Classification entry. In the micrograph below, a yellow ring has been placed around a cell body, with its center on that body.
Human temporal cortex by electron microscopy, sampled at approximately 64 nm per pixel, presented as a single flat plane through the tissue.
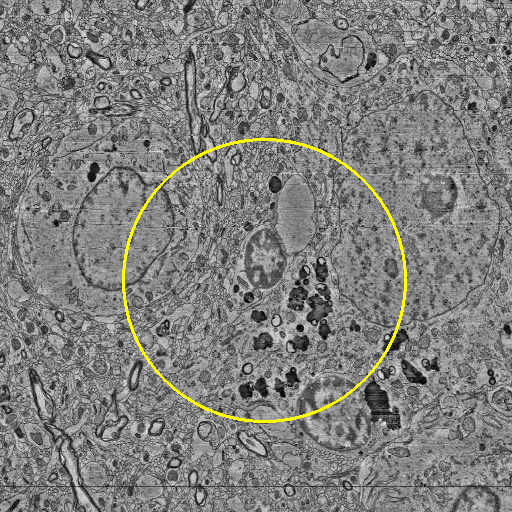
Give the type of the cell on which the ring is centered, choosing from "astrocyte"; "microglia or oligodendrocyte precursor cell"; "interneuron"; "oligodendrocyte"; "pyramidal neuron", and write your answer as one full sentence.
The cell body at the center of the yellow ring belongs to a microglial cell or oligodendrocyte precursor cell.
